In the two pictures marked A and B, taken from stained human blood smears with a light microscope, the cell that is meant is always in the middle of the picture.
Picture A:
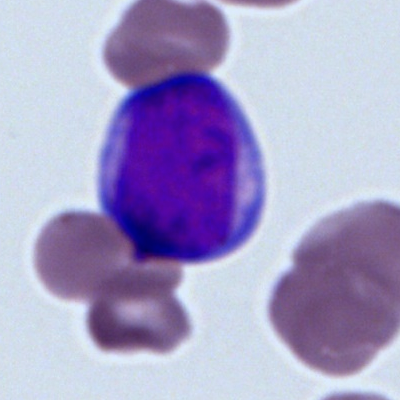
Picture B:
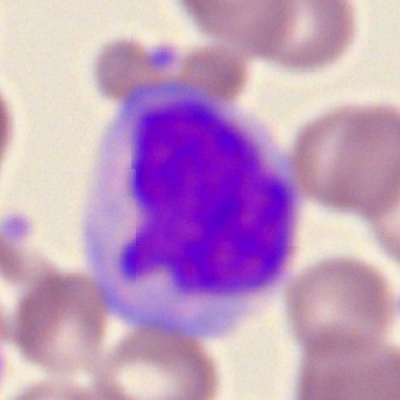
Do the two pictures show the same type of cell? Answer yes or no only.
no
